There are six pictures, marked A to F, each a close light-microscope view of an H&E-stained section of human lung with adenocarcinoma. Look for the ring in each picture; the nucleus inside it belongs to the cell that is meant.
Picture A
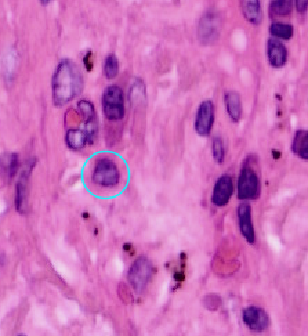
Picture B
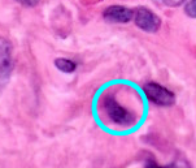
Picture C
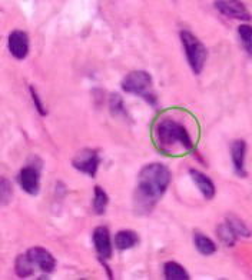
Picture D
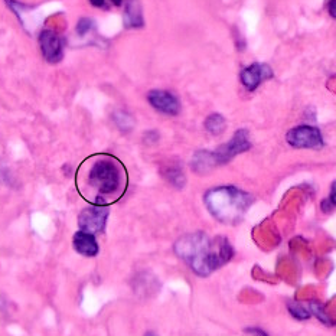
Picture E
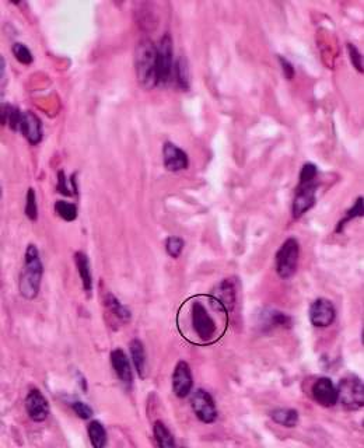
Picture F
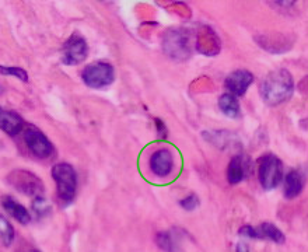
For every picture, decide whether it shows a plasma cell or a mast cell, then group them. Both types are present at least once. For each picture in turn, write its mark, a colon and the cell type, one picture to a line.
A: mast cell
B: plasma cell
C: plasma cell
D: plasma cell
E: plasma cell
F: mast cell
